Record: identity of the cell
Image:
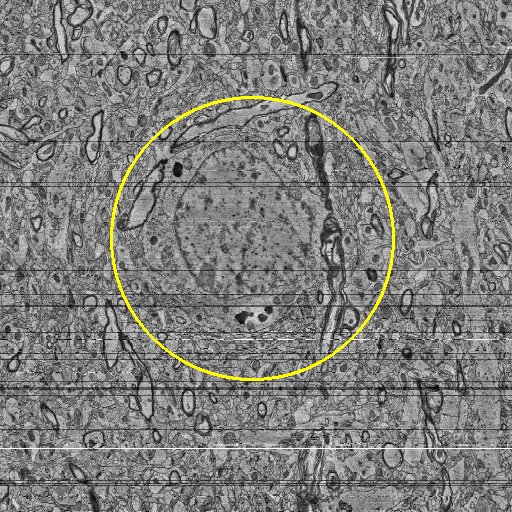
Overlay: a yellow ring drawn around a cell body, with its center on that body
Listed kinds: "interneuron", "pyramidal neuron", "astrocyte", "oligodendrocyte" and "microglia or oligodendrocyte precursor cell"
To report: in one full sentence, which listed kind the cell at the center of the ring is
In the image, the cell body at the ring's center belongs to an interneuron.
